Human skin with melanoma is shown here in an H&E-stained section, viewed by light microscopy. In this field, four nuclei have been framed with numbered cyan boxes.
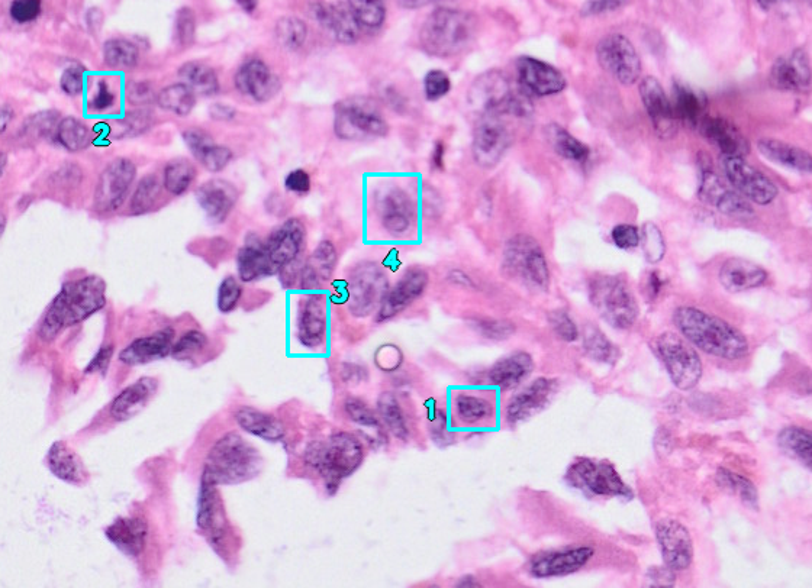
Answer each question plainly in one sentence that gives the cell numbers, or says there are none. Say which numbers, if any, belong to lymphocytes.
Cell 2, and no other numbered cell, is a lymphocyte.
